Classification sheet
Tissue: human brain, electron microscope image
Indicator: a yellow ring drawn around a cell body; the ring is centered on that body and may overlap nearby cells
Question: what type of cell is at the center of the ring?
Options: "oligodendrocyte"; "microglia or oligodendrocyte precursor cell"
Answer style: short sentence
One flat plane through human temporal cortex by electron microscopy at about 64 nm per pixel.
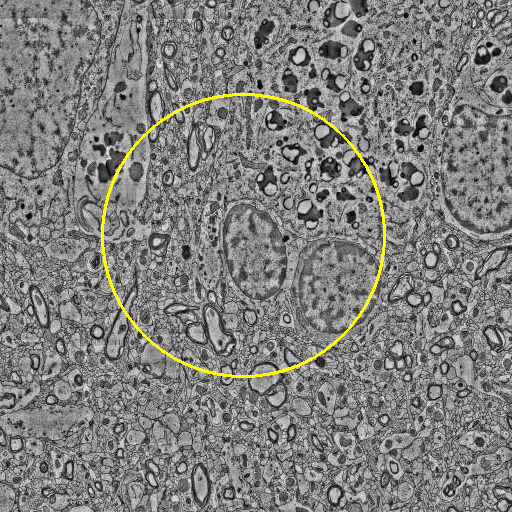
At the ring's center is a microglial cell or oligodendrocyte precursor cell.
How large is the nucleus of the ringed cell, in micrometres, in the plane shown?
The ringed cell's nucleus measures approximately 6 by 4 micrometres in this plane.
